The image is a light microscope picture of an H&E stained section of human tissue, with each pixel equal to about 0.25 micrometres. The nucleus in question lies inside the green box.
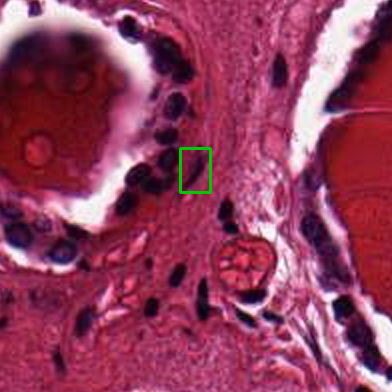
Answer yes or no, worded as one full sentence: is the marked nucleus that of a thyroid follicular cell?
No, the marked nucleus is found in a supporting cell instead of in a thyroid follicular cell.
